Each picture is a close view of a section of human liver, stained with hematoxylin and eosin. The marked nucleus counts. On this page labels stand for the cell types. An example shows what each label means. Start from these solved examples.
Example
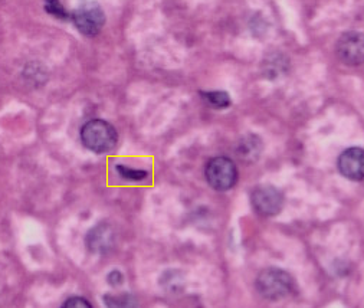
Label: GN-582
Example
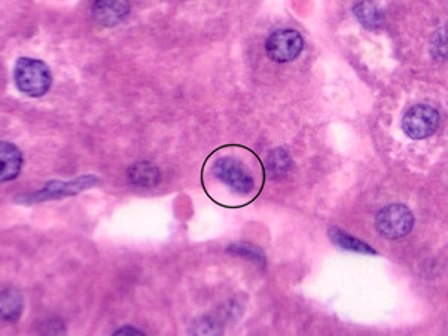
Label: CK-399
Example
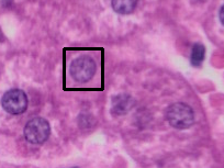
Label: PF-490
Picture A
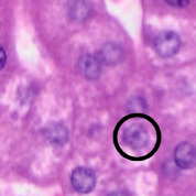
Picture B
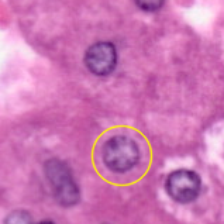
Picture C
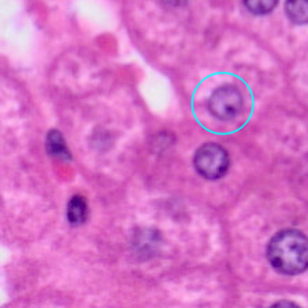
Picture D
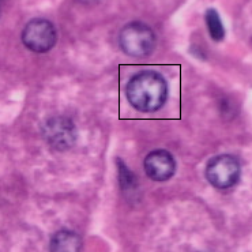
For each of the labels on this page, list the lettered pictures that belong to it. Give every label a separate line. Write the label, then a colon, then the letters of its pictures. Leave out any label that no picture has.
PF-490: A, B, C, D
